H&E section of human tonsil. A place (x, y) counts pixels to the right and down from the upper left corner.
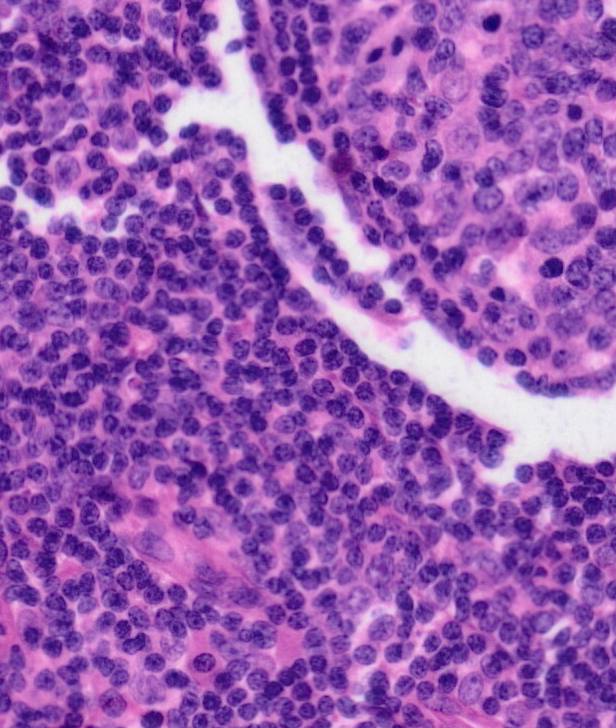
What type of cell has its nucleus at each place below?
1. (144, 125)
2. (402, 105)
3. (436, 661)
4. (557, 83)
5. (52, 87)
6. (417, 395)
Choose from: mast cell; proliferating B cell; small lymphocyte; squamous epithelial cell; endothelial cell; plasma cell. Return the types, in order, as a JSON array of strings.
["small lymphocyte", "proliferating B cell", "small lymphocyte", "proliferating B cell", "small lymphocyte", "small lymphocyte"]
